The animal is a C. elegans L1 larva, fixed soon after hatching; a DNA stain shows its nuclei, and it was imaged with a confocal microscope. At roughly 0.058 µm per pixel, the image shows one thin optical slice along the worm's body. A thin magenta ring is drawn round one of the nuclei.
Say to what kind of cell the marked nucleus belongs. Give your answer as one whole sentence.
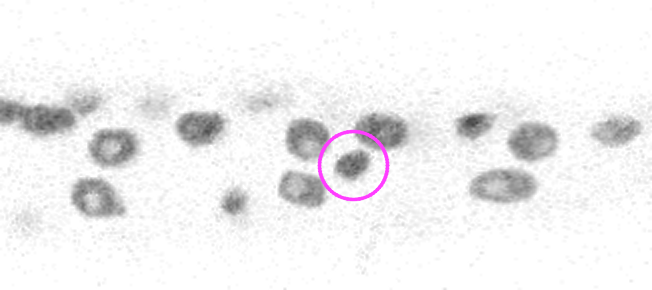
It belongs to a neuron.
